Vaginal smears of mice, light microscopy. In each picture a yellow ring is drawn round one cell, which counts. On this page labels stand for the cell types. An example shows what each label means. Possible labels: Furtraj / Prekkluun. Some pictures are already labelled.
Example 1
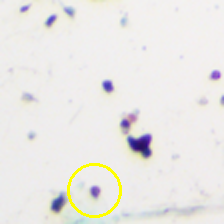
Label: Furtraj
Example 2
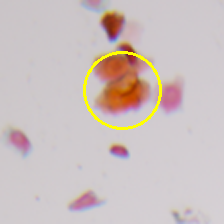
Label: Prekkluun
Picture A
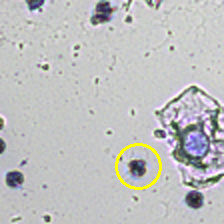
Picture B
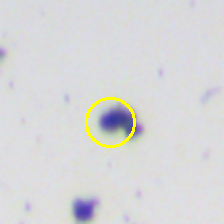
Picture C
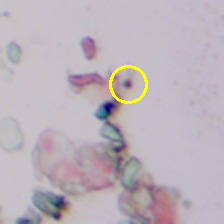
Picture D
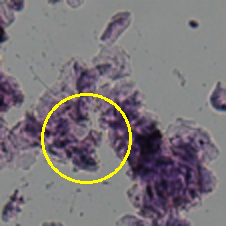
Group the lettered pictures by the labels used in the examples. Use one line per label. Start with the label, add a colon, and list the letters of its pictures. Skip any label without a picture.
Furtraj: A, B, C
Prekkluun: D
